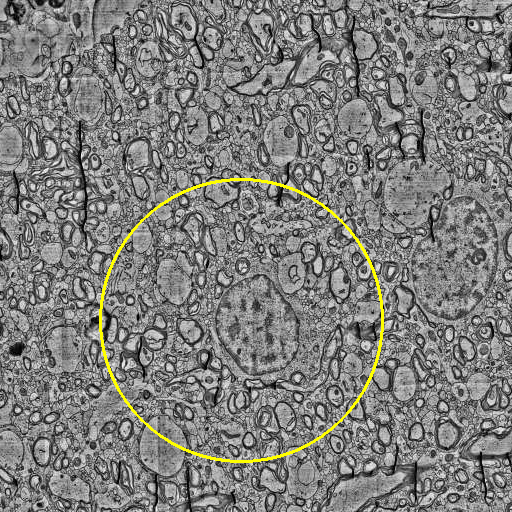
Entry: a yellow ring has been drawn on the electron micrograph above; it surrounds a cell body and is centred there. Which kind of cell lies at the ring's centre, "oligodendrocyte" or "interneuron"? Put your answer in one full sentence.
The cell sitting at the ring's centre is an oligodendrocyte in the micrograph above.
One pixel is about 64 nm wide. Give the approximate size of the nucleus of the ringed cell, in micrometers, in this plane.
In this plane, the nucleus of the cell at the centre of the ring measures about 6 by 5 micrometres.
